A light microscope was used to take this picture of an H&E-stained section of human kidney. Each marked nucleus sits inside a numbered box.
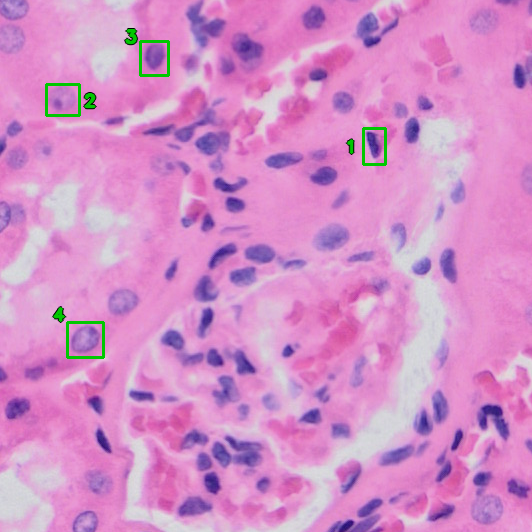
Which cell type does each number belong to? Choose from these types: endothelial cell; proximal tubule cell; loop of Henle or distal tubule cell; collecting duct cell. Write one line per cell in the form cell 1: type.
cell 1: endothelial cell
cell 2: proximal tubule cell
cell 3: proximal tubule cell
cell 4: proximal tubule cell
